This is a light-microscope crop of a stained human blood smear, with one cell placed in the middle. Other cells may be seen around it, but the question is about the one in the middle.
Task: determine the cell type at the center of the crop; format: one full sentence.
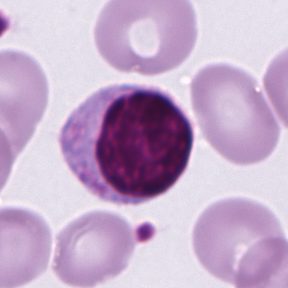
The cell in the exact centre of the crop is a large granular lymphocyte.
